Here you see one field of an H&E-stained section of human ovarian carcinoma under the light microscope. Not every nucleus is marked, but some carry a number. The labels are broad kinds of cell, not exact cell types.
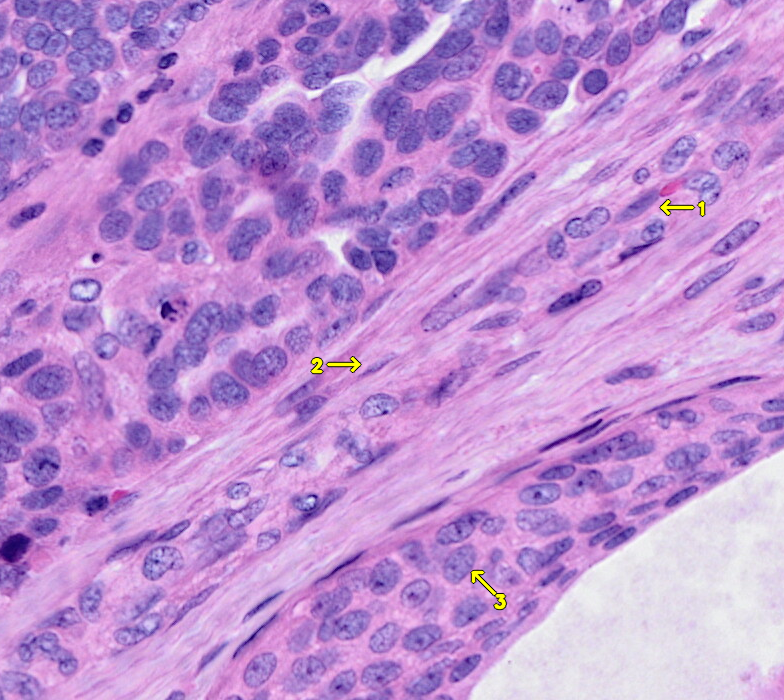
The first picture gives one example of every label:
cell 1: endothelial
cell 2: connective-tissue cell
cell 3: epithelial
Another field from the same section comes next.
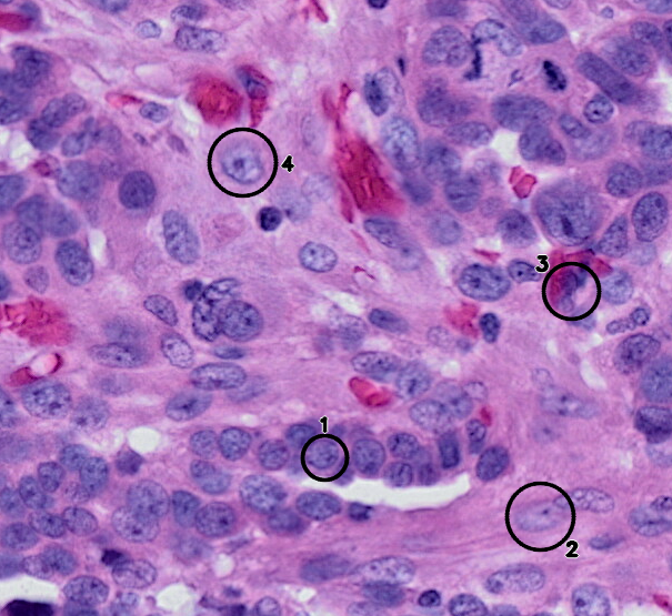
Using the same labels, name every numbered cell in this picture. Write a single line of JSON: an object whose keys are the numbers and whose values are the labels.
{"1": "epithelial", "2": "connective-tissue cell", "3": "endothelial", "4": "connective-tissue cell"}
